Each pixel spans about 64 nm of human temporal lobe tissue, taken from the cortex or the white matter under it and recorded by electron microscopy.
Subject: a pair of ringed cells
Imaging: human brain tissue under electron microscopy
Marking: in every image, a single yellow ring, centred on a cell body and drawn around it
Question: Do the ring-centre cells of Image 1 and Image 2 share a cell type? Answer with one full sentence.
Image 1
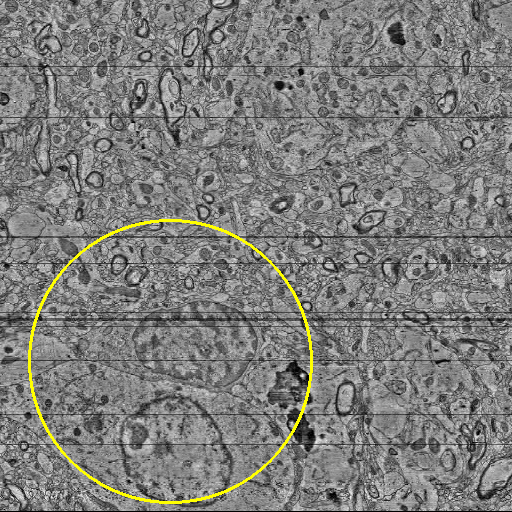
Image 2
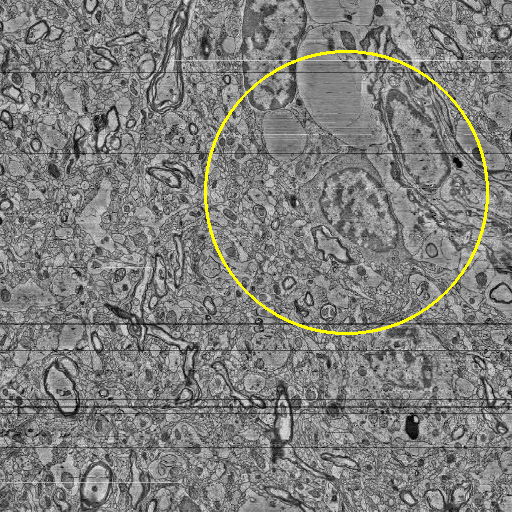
Yes, at each ring's centre in the images sits a cell of one common type.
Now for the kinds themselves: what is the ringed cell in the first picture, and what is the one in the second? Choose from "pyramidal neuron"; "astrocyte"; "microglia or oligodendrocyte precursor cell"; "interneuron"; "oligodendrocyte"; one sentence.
Both rings mark an oligodendrocyte, one in each picture.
